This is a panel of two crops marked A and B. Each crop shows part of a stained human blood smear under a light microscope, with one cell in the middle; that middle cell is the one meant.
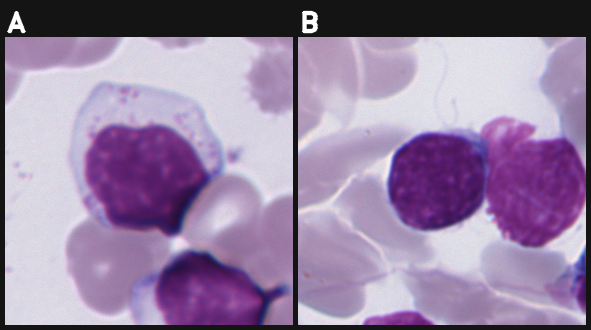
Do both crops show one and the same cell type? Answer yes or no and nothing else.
no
